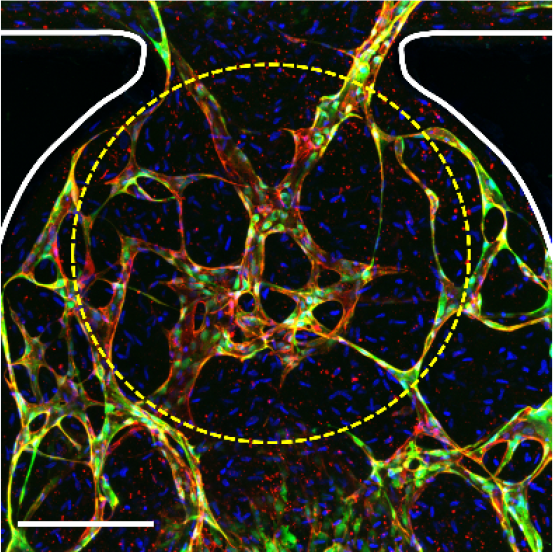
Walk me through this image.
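The tubes appear green and red, overlapping as yellow, and enclose open dark meshes of varying size. Small elongated blue nuclei lie scattered in the spaces between the tubes as well as along them.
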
